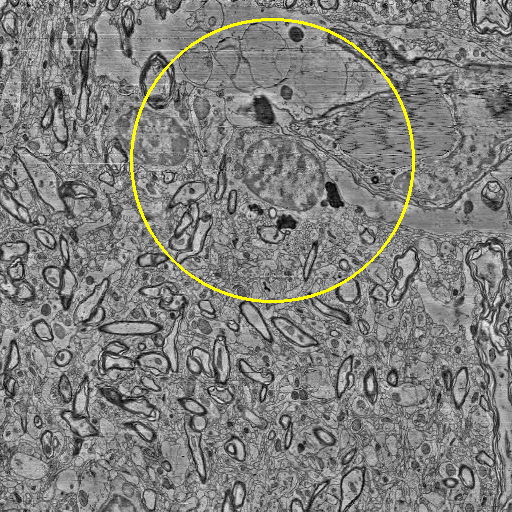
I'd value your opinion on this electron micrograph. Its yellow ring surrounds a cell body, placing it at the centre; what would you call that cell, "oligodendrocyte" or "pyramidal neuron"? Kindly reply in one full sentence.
It is an oligodendrocyte that sits centred within the yellow ring in this micrograph.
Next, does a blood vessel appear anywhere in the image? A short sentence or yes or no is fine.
Yes, the image shows a blood vessel.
